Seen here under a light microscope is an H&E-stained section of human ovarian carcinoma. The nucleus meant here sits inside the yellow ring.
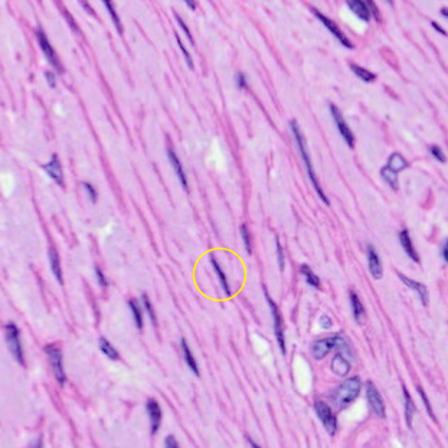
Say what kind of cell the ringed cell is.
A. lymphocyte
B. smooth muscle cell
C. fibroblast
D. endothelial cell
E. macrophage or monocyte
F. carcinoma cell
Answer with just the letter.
C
